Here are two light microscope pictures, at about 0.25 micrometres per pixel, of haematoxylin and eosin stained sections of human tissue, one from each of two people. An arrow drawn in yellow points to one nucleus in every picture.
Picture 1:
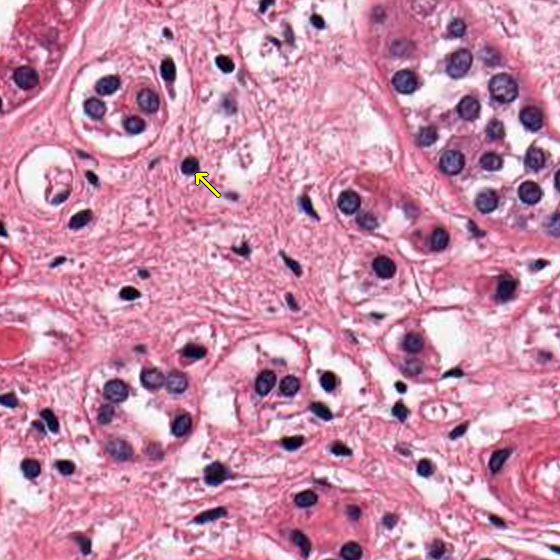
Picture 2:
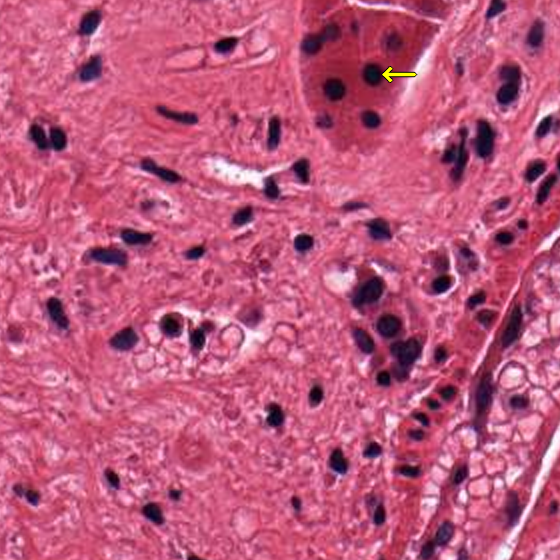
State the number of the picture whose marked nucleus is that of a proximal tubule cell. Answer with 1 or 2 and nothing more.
2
